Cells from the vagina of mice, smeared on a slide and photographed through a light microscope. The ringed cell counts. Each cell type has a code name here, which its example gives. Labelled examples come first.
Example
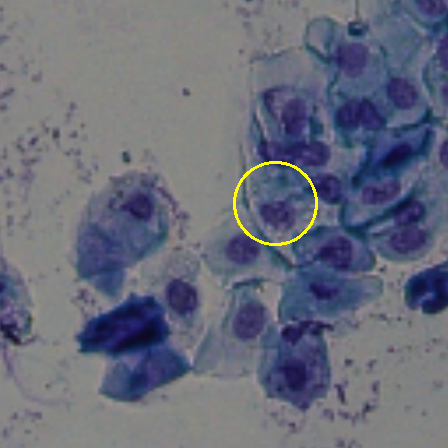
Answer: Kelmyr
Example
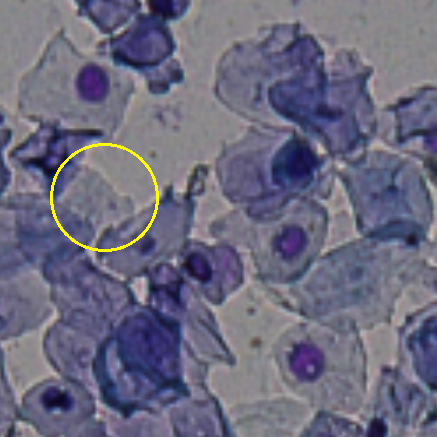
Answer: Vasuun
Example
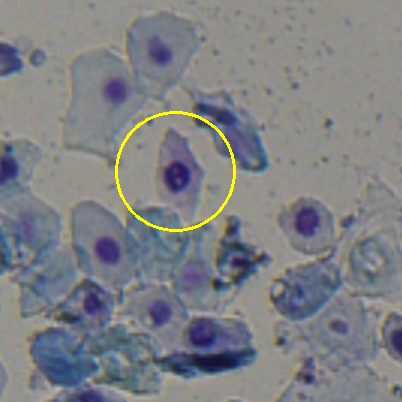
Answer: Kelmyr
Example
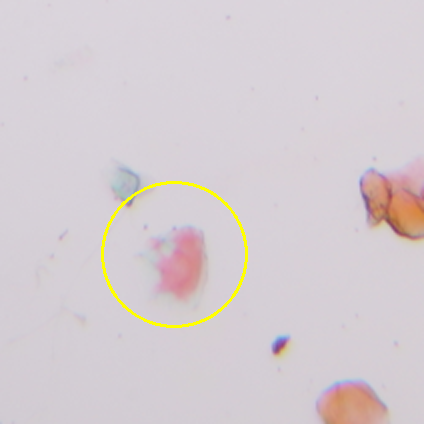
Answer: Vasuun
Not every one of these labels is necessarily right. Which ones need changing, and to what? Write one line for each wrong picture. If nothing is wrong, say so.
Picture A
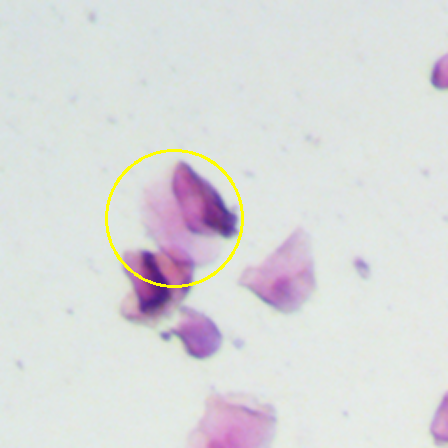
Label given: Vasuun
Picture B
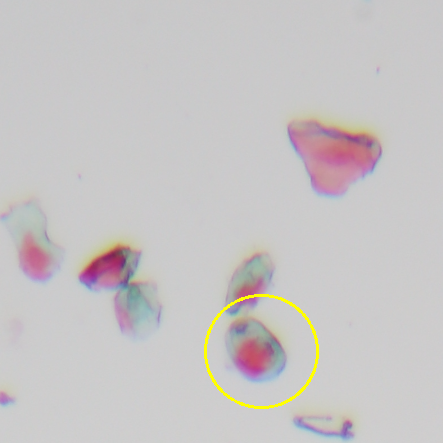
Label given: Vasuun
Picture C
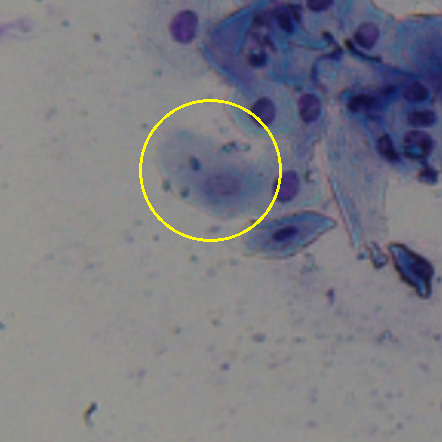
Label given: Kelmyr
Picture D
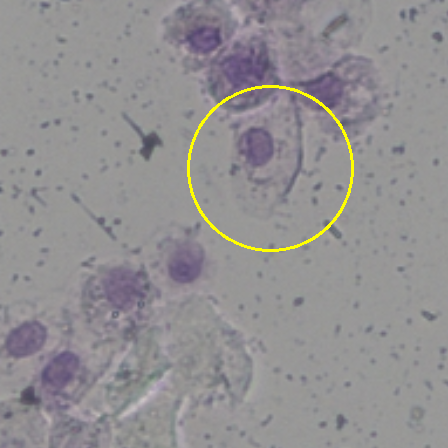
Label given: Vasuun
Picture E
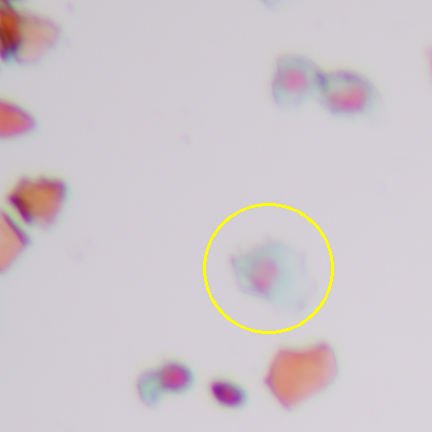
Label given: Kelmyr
Wrong: B (Vasuun); correct: Kelmyr
Wrong: D (Vasuun); correct: Kelmyr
